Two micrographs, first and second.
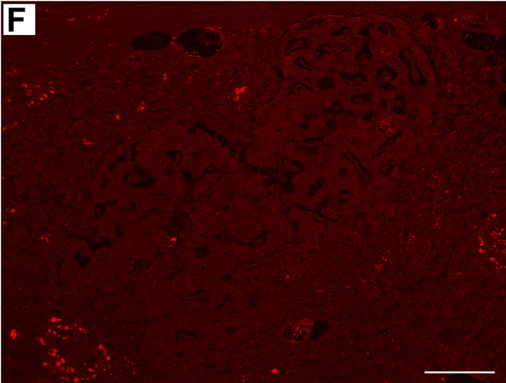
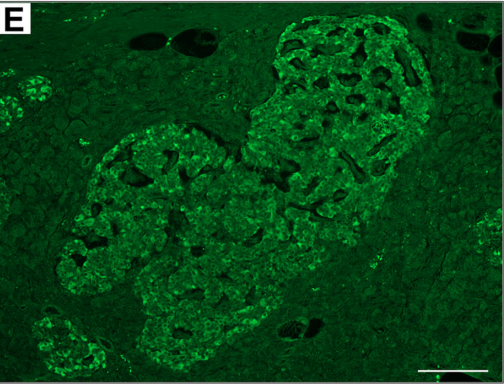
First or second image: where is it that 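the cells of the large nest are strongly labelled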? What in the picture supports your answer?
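First image: the large nest of cells is dark, with only scattered red dots mostly outside it. Second image: the large nest of cells is bright green throughout.
The second image.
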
